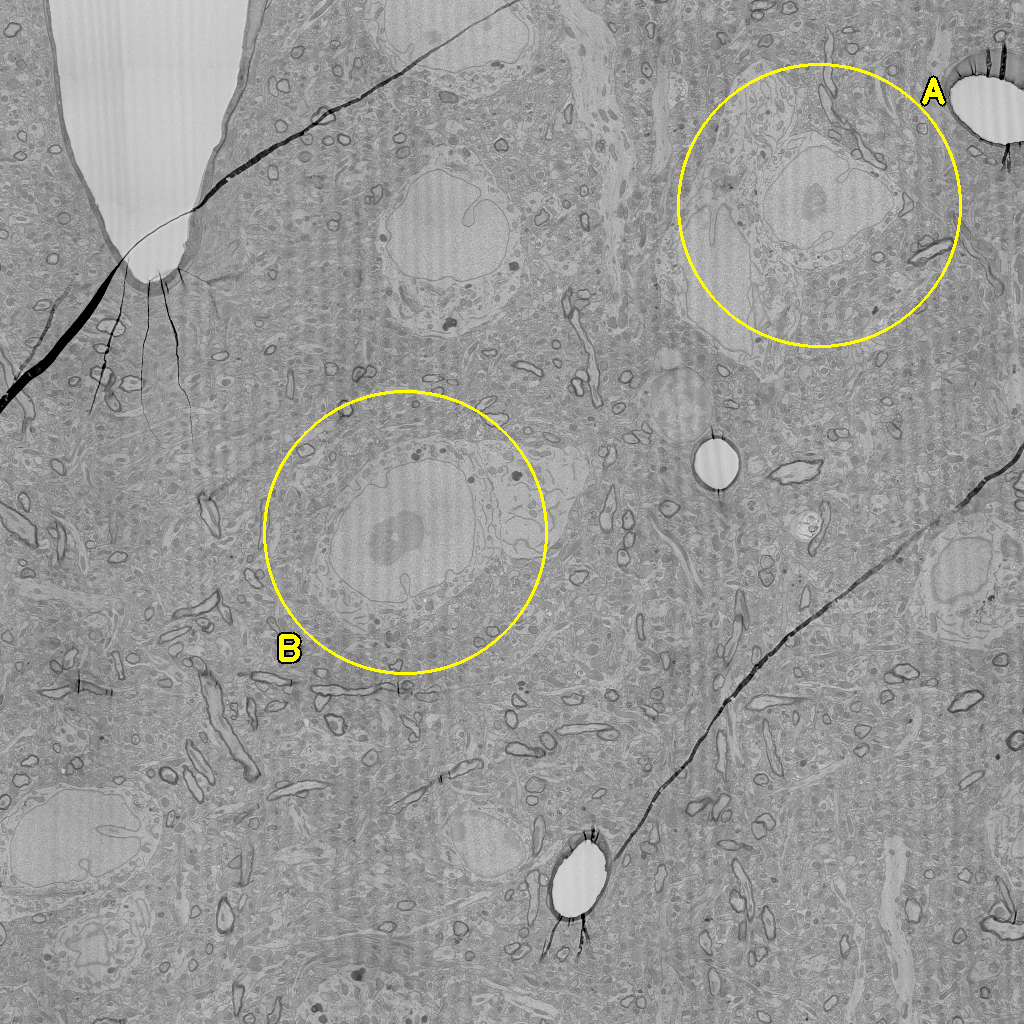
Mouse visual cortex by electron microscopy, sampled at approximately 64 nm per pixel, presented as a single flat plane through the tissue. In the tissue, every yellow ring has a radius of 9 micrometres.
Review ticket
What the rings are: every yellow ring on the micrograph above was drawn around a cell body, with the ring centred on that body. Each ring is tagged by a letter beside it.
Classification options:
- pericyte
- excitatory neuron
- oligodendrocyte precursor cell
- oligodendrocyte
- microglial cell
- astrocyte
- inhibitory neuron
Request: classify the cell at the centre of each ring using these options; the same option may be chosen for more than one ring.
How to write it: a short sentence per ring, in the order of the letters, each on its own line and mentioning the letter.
The cell centred in ring A is an inhibitory neuron.
The cell centred in ring B is an excitatory neuron.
